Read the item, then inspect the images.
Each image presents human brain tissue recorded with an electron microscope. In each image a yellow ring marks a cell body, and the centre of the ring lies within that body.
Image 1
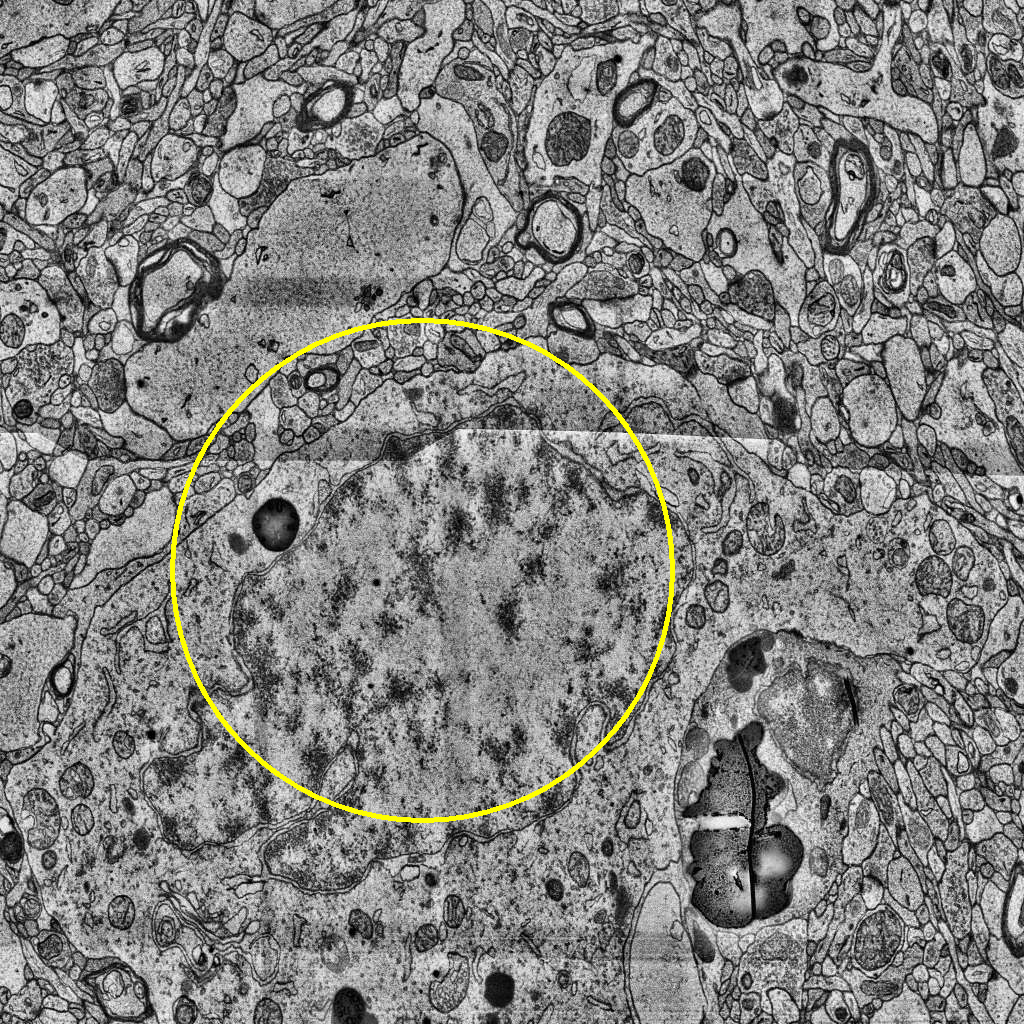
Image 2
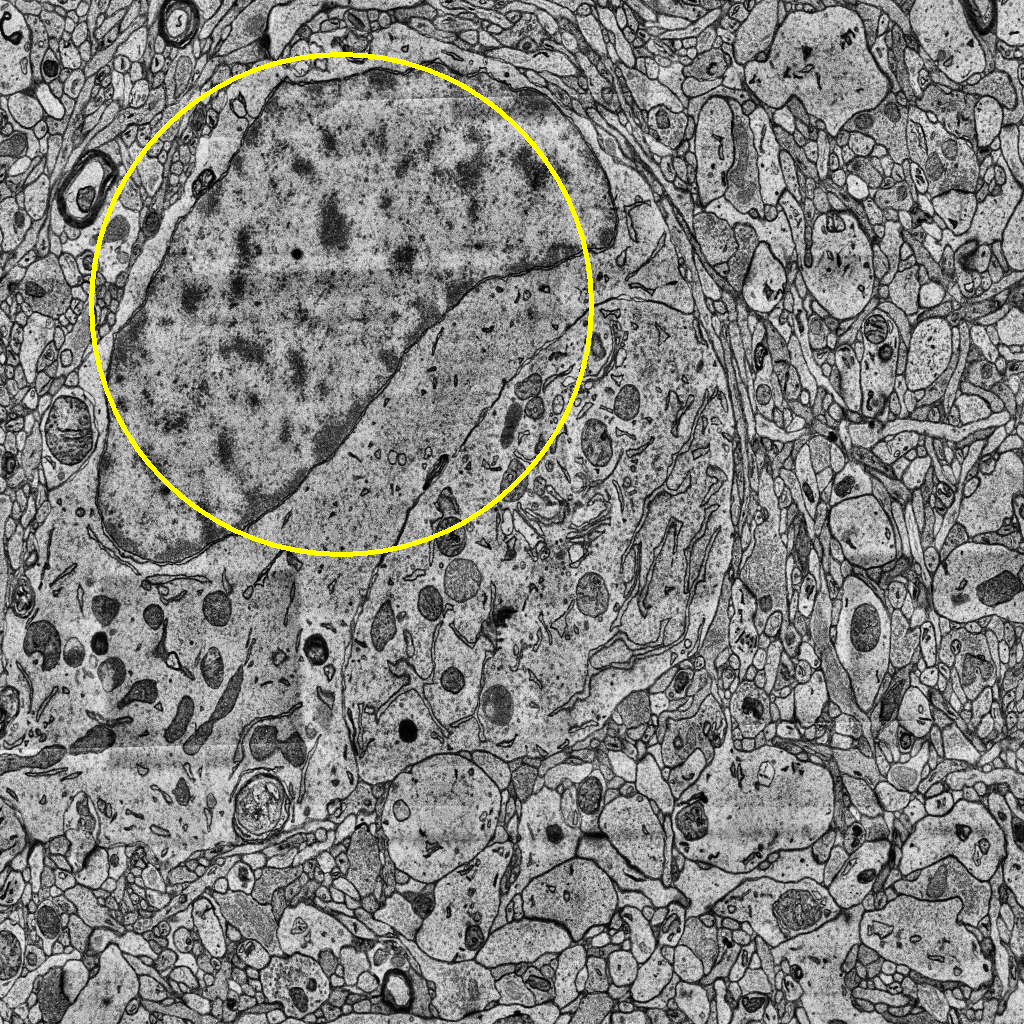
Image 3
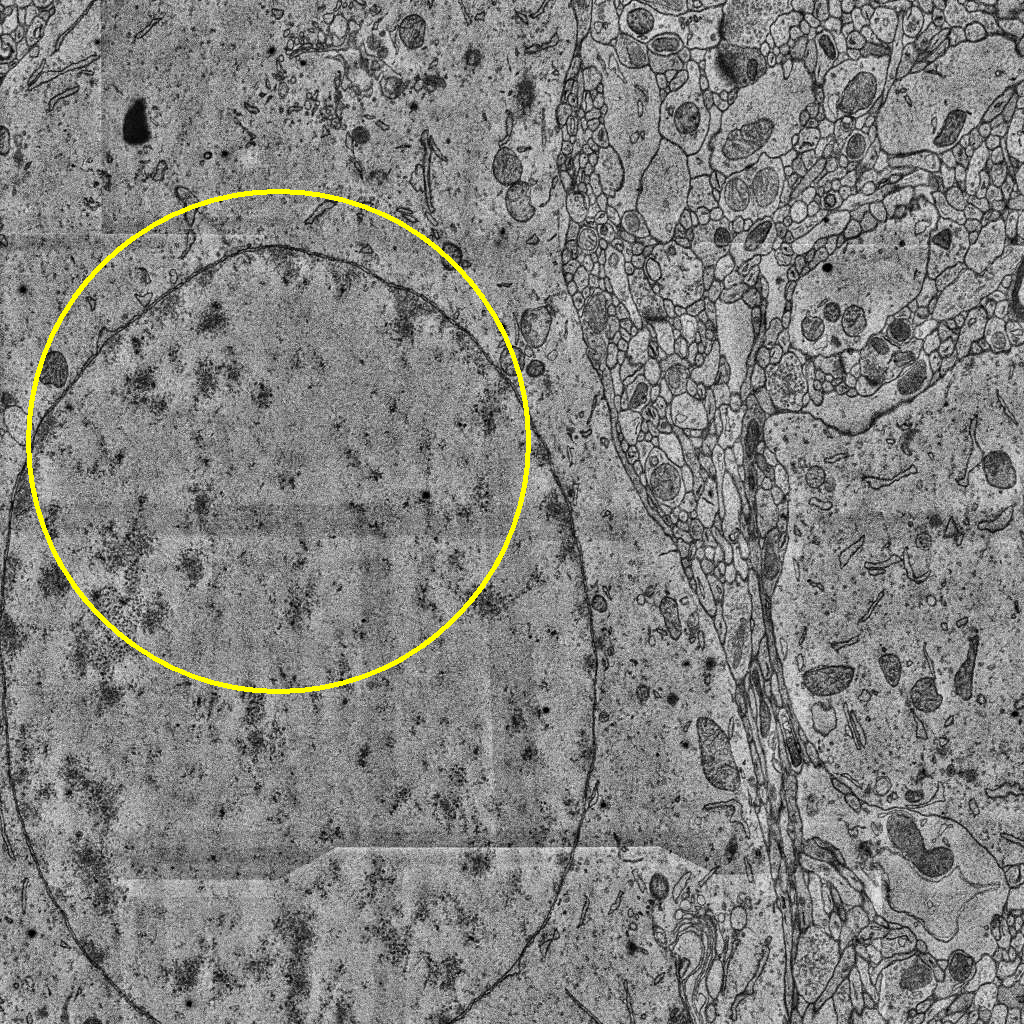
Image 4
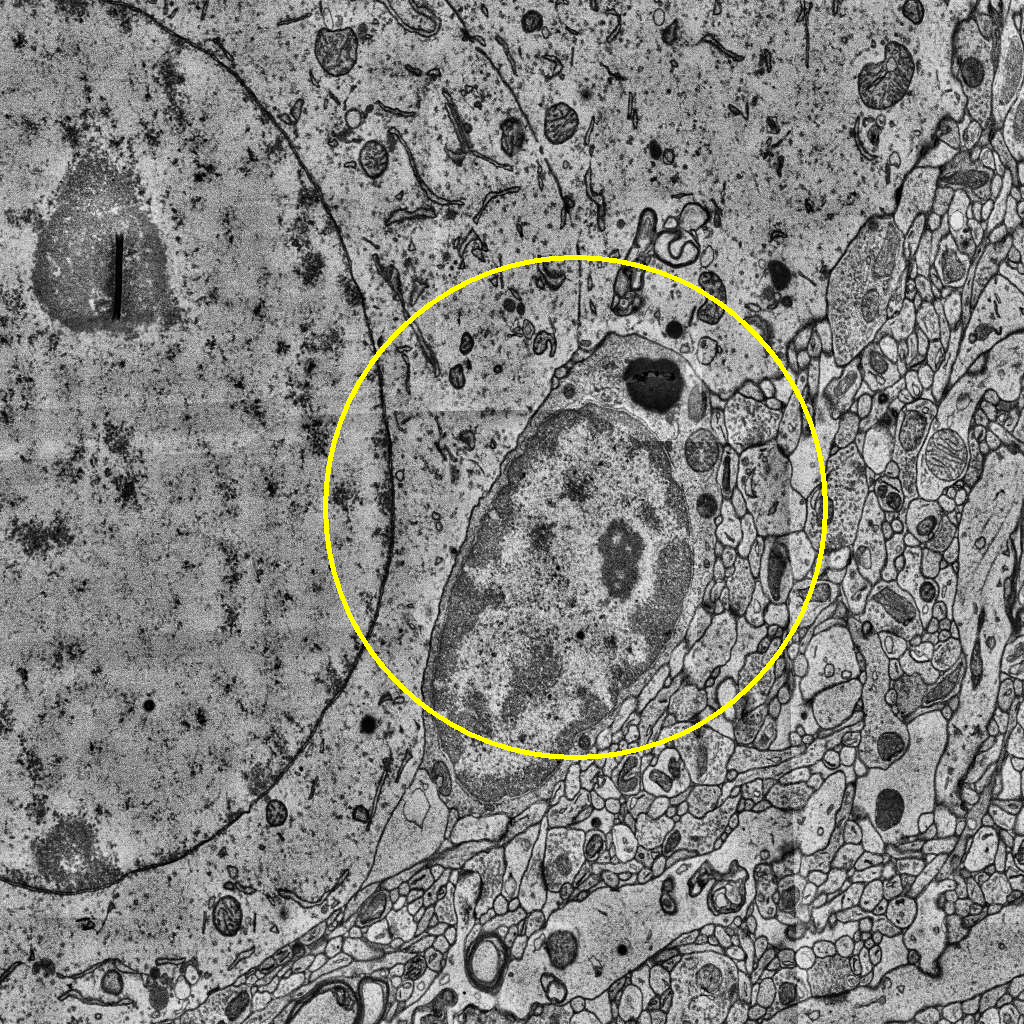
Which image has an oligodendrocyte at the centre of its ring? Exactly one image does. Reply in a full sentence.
The centre of the ring in Image 4 lies within it.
